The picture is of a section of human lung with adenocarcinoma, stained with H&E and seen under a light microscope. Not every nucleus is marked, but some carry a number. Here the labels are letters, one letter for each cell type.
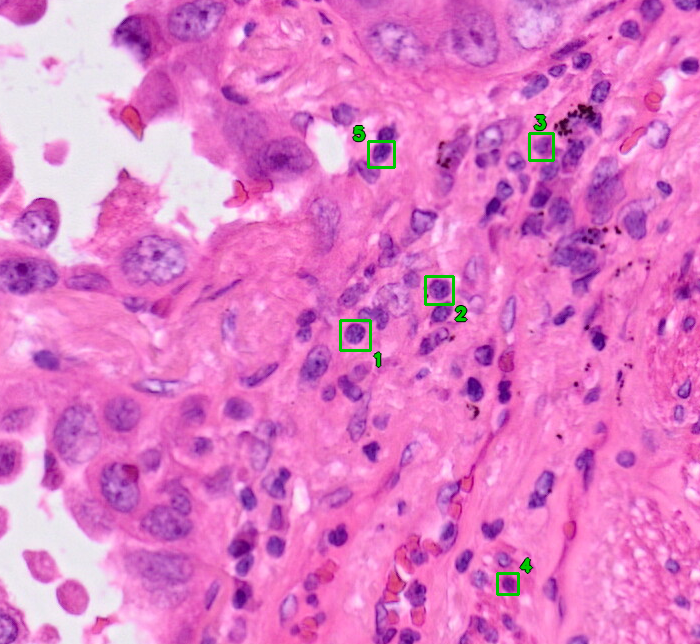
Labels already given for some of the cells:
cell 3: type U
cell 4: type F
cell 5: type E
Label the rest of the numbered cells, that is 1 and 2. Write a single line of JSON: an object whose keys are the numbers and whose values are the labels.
{"1": "type E", "2": "type E"}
